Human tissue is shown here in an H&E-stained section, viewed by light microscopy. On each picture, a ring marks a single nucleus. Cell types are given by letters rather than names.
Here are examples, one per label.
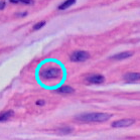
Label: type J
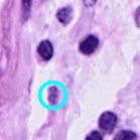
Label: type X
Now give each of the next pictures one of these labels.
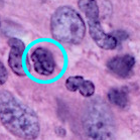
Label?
type X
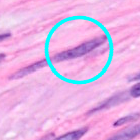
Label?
type J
